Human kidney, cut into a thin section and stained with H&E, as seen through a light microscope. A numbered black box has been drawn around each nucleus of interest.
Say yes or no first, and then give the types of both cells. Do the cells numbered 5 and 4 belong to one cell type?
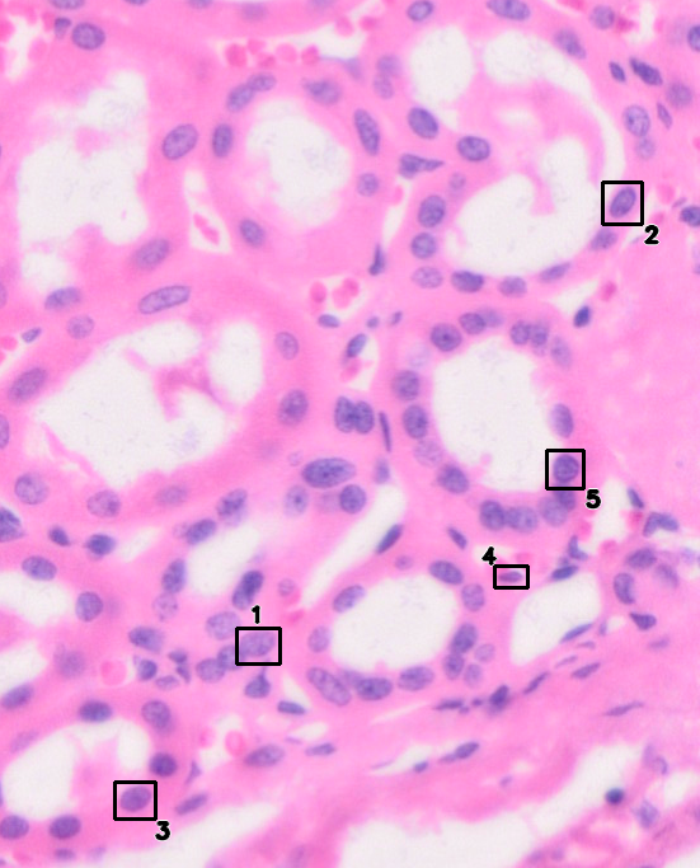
No, cell 5 is a collecting duct cell and cell 4 is an endothelial cell.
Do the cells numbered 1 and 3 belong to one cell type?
No, cell 1 is a collecting duct cell and cell 3 is a loop of Henle or distal tubule cell.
